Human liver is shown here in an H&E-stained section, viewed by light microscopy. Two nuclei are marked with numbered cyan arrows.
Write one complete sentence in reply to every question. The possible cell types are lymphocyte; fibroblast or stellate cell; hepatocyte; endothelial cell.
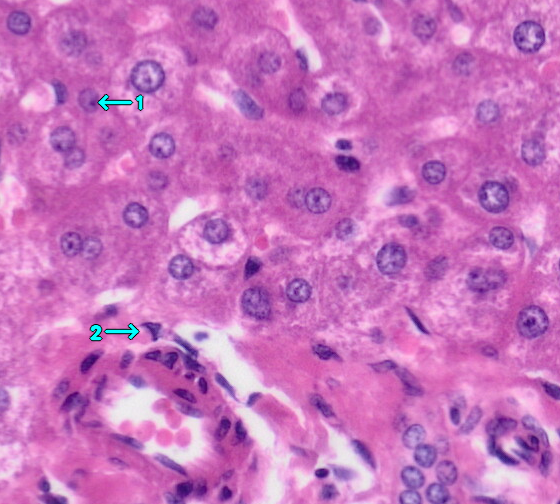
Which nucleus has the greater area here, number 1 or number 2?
It is nucleus 1, which covers about 1.5 times the area of nucleus 2.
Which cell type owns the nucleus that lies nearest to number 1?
Number 1 lies closest to the nucleus of an endothelial cell.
